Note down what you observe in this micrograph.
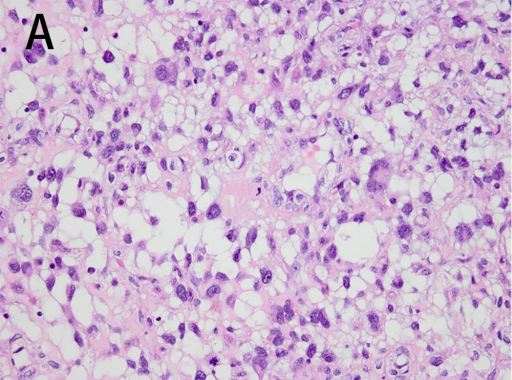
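This is a pleomorphic fatty tumour, with atypical tumour cells and multivacuolated lipoblasts scattered in a pale, loose myxoid matrix. Nuclei vary markedly in size and shape, and some are large and hyperchromatic.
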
